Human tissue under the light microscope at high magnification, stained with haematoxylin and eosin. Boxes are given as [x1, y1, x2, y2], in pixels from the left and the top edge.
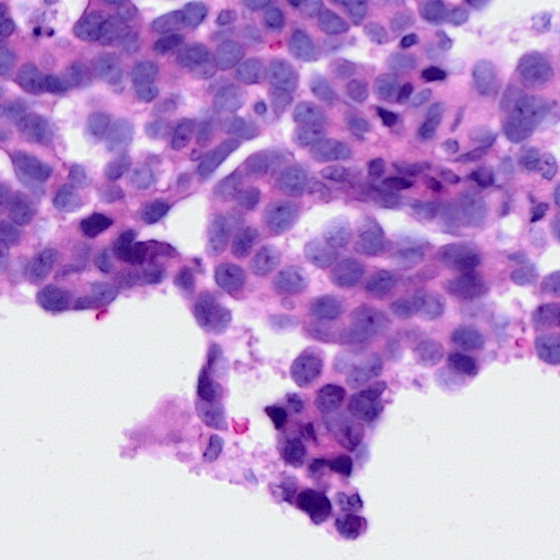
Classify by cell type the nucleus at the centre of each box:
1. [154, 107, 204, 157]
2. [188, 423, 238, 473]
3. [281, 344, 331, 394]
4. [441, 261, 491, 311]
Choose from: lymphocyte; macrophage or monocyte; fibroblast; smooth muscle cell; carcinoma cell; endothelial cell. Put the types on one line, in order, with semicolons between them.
carcinoma cell; macrophage or monocyte; carcinoma cell; carcinoma cell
